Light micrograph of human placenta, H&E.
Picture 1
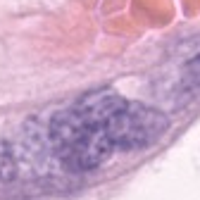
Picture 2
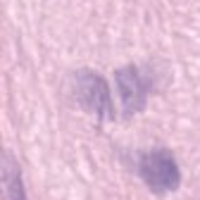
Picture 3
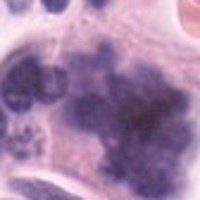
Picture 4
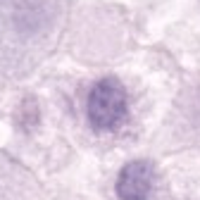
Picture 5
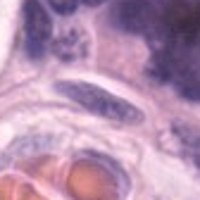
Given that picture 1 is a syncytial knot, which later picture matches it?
3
